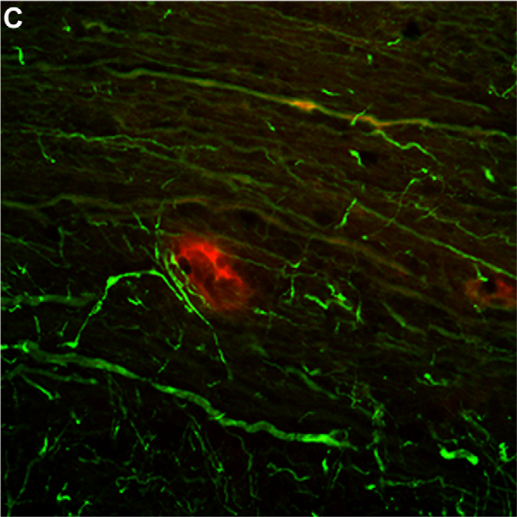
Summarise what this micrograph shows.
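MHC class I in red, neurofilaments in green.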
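Numerous green fibers are beaded, thickened or tortuous, and several appear fragmented, particularly in the lower part. A compact red patch with dark holes lies left of centre, and a smaller red patch sits at the right edge. In the upper part, small orange to red spots lie along a green fiber, where the two colours overlap.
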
